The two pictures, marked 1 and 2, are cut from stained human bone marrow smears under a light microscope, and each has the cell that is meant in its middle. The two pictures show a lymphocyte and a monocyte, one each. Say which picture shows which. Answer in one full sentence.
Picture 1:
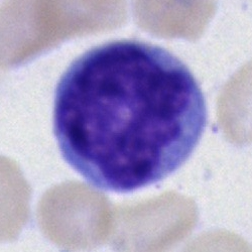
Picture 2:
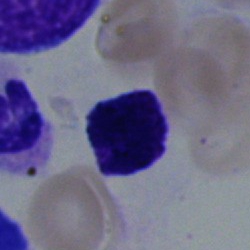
It is picture 1 that shows a monocyte, and picture 2 that shows a lymphocyte.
